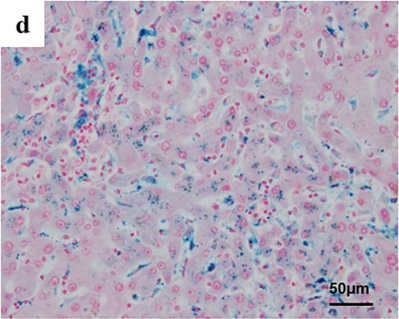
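Liver tissue with cords of hepatocytes and sinusoids between them. Hepatocytes are polygonal with round pink-red central nuclei and pink cytoplasm. Numerous slender, irregular or elongated cells lying within the sinusoids are stained solid blue, scattered across the field and more frequent toward the left. In addition, some hepatocytes, mainly in the lower half of the field, contain small blue granules in their cytoplasm. Other hepatocytes remain unstained.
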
